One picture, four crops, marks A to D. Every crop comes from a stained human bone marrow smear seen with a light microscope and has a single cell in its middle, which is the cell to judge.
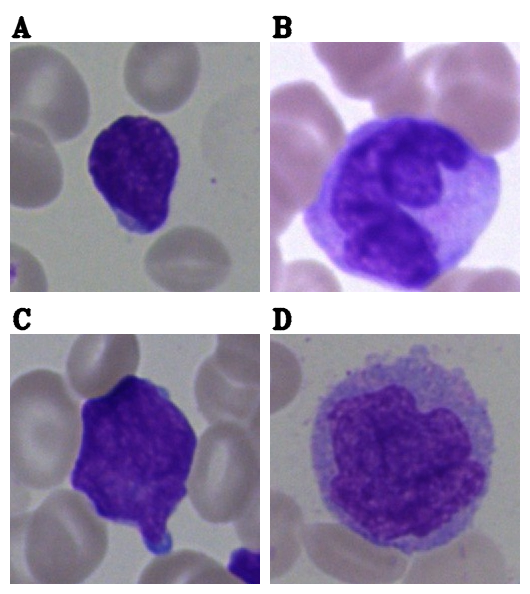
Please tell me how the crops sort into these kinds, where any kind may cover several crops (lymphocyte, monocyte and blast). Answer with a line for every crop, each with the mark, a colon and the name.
A: lymphocyte
B: monocyte
C: blast
D: monocyte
